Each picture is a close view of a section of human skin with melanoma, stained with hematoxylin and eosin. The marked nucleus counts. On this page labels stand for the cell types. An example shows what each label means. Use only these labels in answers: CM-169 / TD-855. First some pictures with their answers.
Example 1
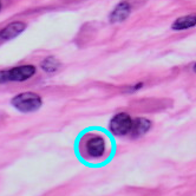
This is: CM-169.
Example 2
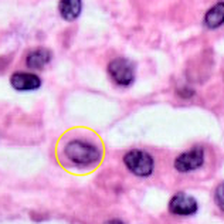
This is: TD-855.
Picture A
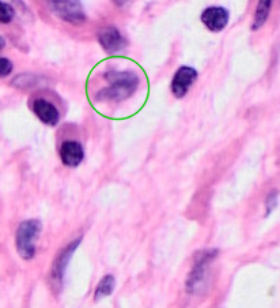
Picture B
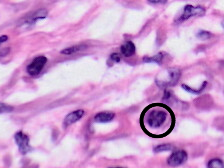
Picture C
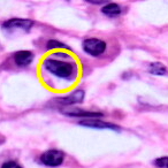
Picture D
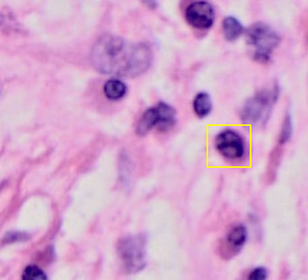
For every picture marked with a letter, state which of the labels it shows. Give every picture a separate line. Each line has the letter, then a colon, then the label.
A: TD-855.
B: CM-169.
C: CM-169.
D: CM-169.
